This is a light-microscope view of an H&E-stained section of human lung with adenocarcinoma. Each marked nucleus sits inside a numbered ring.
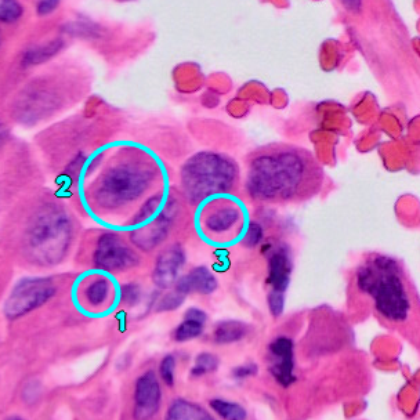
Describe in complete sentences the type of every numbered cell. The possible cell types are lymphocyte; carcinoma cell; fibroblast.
Cell 1 is a lymphocyte, cell 2 is a carcinoma cell and cell 3 is a lymphocyte.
